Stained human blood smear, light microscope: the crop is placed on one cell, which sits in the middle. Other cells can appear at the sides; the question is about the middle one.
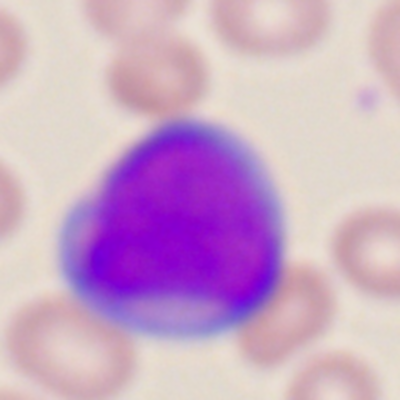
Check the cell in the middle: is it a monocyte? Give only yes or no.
no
